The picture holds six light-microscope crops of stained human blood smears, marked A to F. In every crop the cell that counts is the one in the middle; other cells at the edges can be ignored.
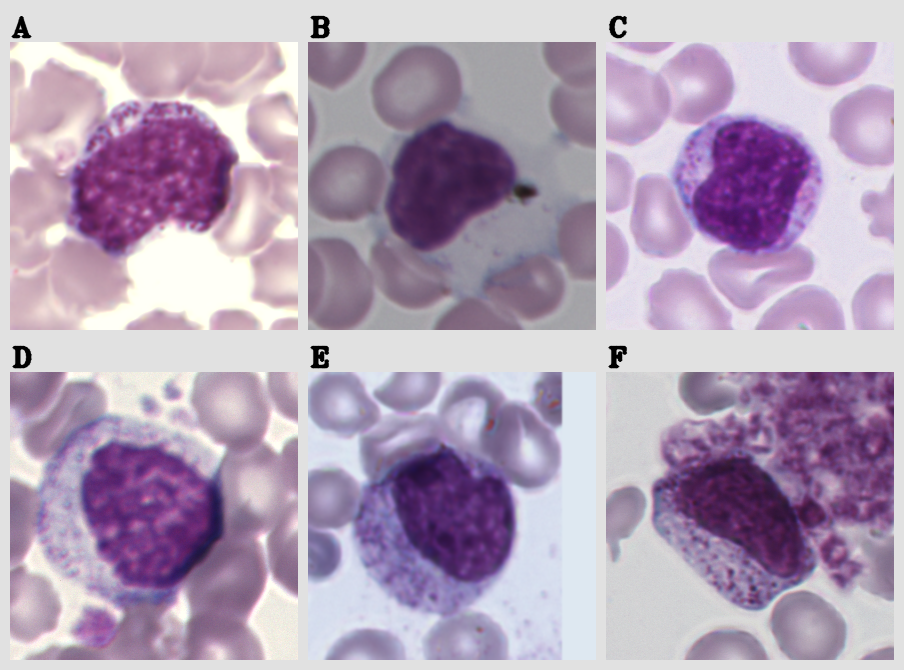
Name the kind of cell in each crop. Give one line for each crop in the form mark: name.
A: myelocyte
B: large granular lymphocyte
C: metamyelocyte
D: myelocyte
E: myelocyte
F: metamyelocyte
